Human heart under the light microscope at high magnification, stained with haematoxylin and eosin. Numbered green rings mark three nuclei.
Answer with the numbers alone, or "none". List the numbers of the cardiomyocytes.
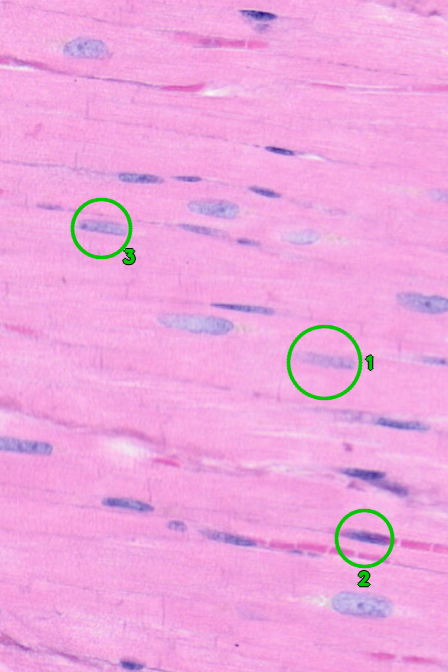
1, 3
